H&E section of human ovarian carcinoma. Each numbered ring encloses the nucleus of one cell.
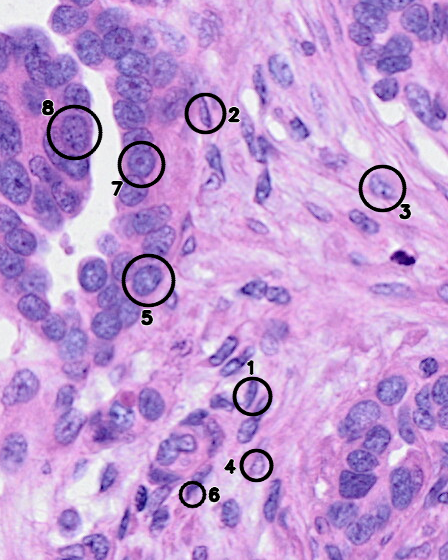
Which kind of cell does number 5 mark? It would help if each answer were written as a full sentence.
In the marked set, the cell given number 5 is a carcinoma cell.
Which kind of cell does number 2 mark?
The cell that is numbered 2 is a fibroblast.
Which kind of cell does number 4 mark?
The marked cell bearing number 4 is a fibroblast.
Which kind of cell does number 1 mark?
Cell 1 in the field is a fibroblast.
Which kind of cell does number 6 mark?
Numbered cell 6 is a fibroblast in this tissue section.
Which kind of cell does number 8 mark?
Cell 8 of the marked set is a carcinoma cell.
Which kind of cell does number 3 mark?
The cell referenced by the number 3 is a fibroblast in this field.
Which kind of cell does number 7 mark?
Recognised here as a carcinoma cell is the cell numbered 7.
